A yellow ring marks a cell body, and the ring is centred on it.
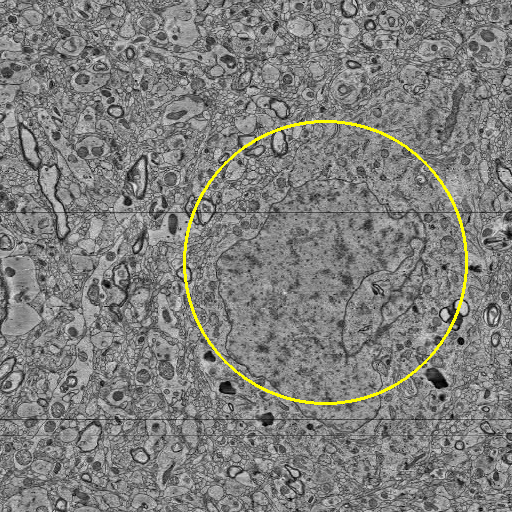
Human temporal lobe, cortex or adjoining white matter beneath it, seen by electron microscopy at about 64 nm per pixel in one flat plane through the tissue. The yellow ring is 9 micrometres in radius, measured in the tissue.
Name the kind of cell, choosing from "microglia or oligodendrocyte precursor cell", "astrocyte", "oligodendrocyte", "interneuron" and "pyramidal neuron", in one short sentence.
The marked cell body belongs to a pyramidal neuron.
